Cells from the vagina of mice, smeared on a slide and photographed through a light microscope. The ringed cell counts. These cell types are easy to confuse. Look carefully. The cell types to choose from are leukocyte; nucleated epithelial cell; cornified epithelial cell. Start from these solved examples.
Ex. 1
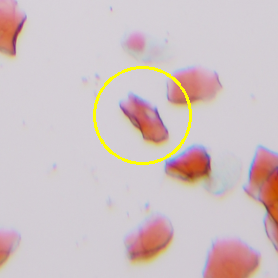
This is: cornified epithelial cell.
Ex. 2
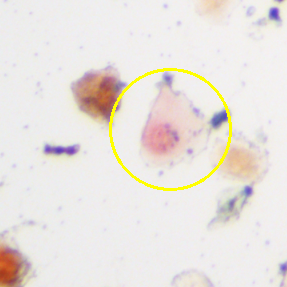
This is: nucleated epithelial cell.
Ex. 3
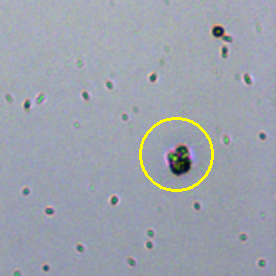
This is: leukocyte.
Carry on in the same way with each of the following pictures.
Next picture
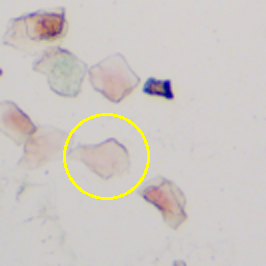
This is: cornified epithelial cell.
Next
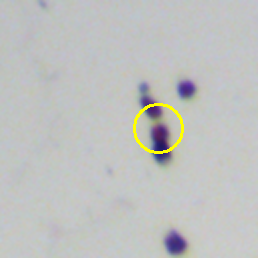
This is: leukocyte.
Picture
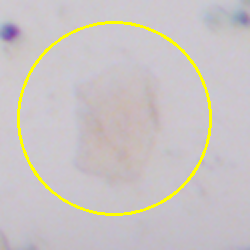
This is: cornified epithelial cell.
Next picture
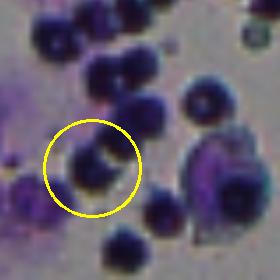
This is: leukocyte.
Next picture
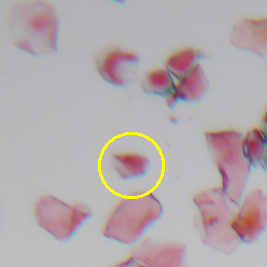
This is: cornified epithelial cell.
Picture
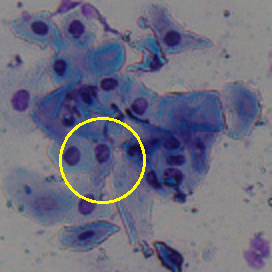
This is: nucleated epithelial cell.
